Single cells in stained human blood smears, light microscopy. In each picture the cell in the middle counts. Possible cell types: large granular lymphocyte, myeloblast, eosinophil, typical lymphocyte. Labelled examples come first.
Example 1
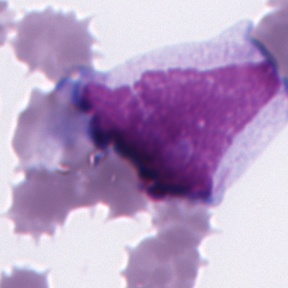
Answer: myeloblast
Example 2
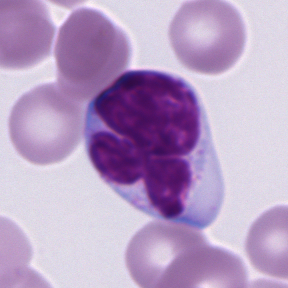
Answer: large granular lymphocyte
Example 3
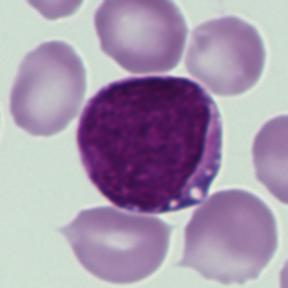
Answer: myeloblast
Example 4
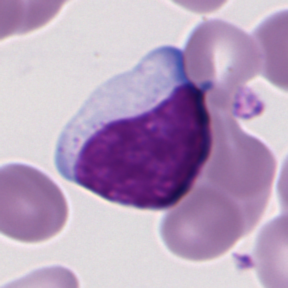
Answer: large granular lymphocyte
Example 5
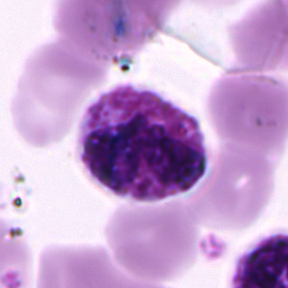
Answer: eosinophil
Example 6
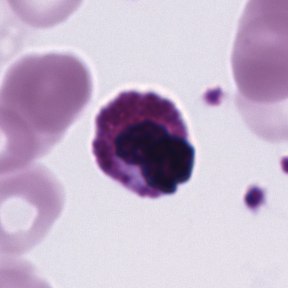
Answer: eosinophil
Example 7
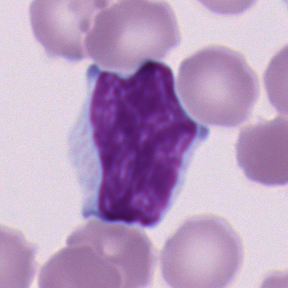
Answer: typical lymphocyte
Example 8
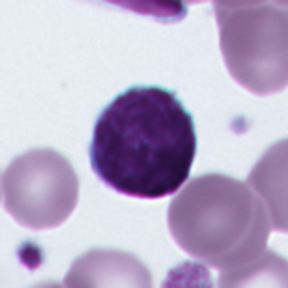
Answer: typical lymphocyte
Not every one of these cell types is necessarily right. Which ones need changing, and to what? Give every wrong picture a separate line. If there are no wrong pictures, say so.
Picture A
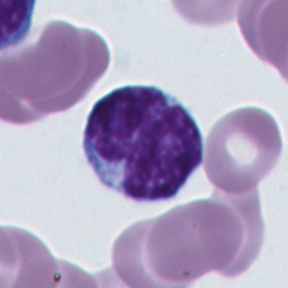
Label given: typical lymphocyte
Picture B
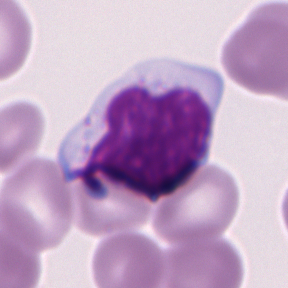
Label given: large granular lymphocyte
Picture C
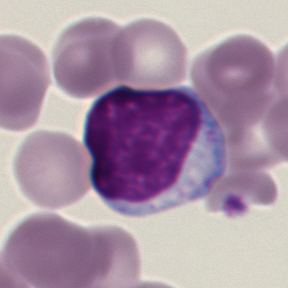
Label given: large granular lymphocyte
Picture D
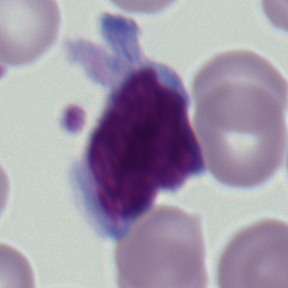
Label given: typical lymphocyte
All labels are correct.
